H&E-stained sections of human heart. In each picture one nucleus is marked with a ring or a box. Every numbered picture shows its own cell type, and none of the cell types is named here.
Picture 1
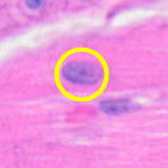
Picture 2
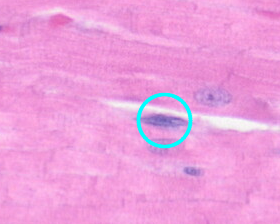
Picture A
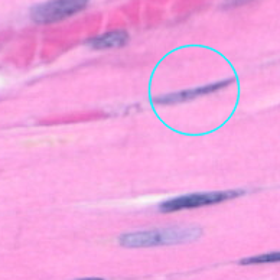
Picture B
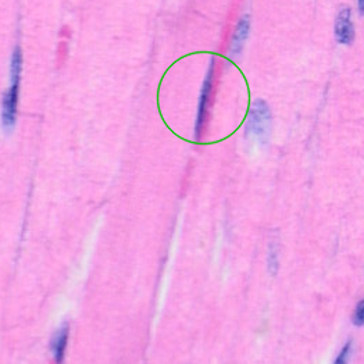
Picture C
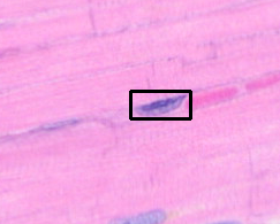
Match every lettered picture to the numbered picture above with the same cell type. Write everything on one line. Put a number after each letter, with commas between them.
A 2, B 2, C 2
